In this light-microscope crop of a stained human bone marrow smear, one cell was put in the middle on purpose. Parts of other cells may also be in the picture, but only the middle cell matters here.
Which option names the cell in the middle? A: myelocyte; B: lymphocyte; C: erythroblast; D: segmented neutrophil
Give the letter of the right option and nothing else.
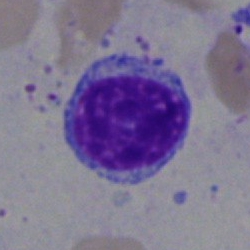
B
